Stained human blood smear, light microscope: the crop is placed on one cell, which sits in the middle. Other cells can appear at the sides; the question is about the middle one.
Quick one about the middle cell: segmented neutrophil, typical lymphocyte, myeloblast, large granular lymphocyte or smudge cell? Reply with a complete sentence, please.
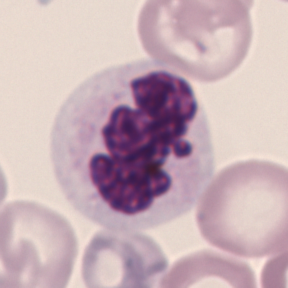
The central element of this crop is a cell, namely a segmented neutrophil.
